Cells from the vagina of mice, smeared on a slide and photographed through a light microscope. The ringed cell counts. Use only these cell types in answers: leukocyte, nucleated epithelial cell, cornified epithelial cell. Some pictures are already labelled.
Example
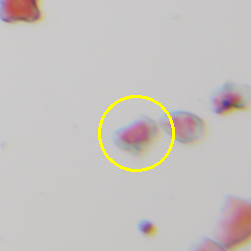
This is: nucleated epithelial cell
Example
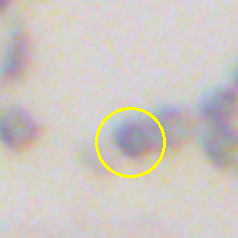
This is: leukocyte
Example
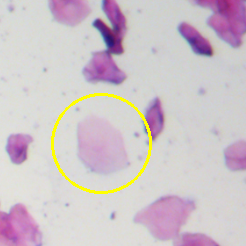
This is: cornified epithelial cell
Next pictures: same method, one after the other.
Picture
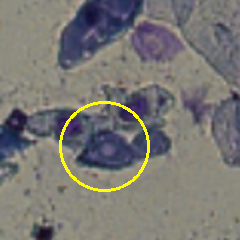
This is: nucleated epithelial cell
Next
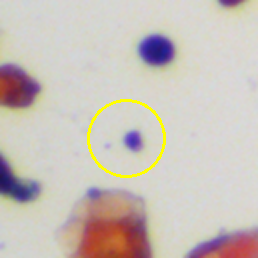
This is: leukocyte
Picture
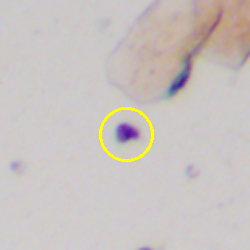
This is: leukocyte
